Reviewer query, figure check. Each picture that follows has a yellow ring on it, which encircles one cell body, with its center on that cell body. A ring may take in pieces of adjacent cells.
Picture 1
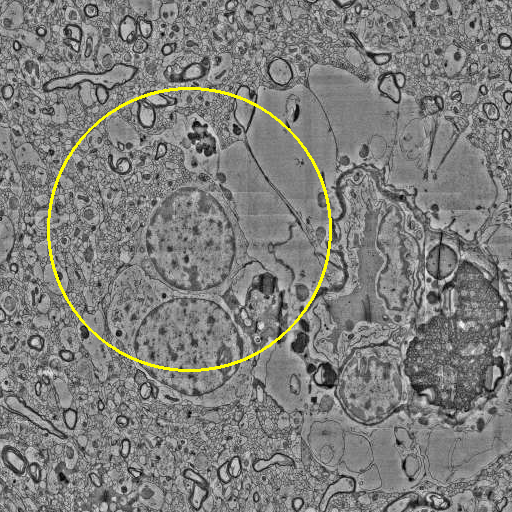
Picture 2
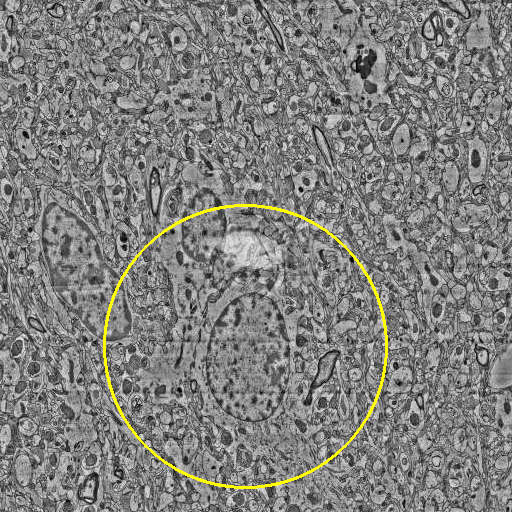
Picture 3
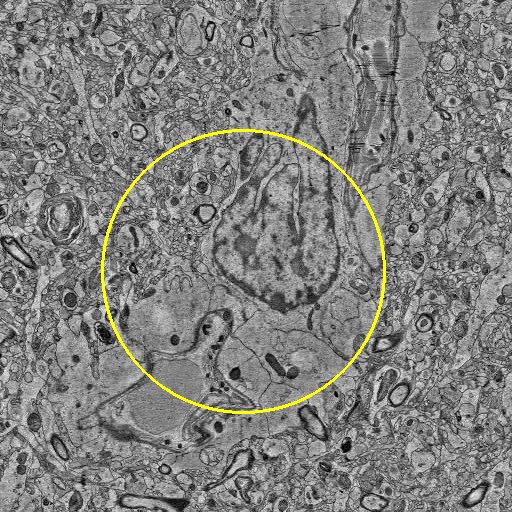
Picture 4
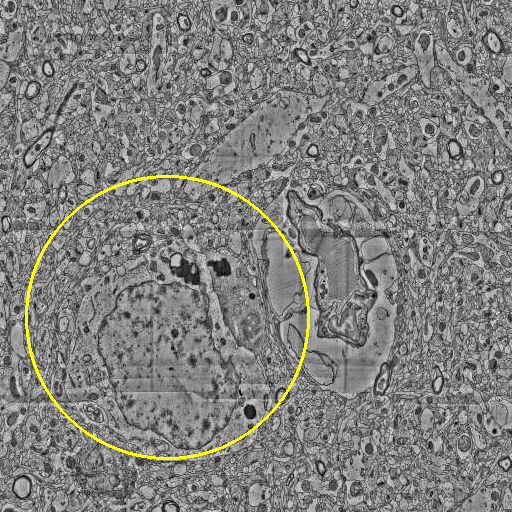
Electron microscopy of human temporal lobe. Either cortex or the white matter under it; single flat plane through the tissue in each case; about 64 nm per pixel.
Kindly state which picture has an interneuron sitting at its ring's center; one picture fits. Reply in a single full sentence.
In picture 4, the cell at the center of the ring is the requested one.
